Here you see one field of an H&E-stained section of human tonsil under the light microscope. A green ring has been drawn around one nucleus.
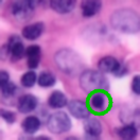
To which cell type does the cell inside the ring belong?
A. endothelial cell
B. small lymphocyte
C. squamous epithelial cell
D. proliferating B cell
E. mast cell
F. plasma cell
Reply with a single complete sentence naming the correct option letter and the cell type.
Option A gives the correct identity of the cell inside the ring, which is an endothelial cell.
